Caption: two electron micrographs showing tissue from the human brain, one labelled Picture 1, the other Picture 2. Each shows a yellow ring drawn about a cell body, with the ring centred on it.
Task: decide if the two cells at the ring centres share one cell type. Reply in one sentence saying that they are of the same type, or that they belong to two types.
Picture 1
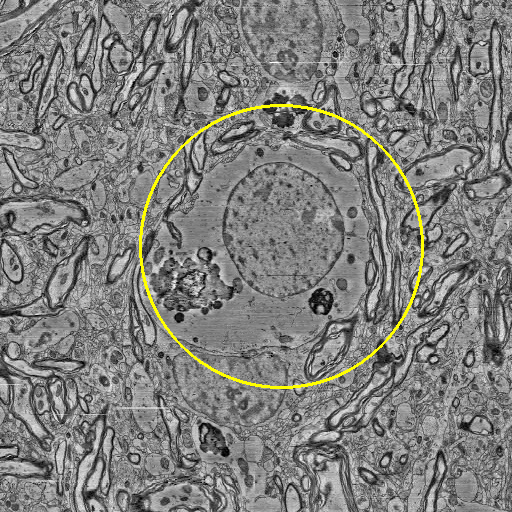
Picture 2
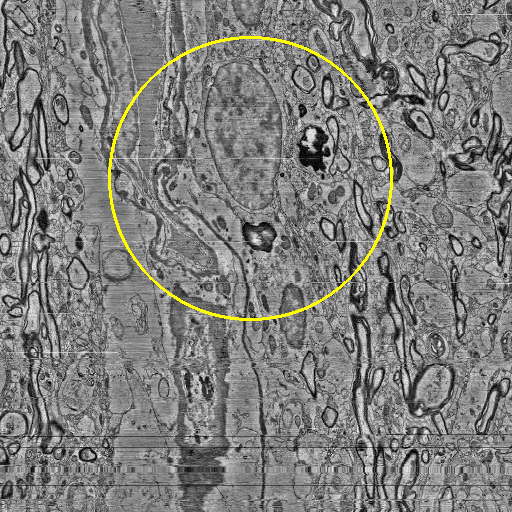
The cells at the ring centres in Picture 1 and Picture 2 belong to two types.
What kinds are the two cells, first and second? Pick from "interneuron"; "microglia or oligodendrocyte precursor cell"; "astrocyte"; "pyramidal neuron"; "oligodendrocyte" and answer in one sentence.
The second picture holds an oligodendrocyte in its ring, and the first holds an astrocyte.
